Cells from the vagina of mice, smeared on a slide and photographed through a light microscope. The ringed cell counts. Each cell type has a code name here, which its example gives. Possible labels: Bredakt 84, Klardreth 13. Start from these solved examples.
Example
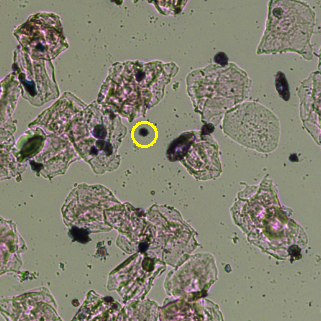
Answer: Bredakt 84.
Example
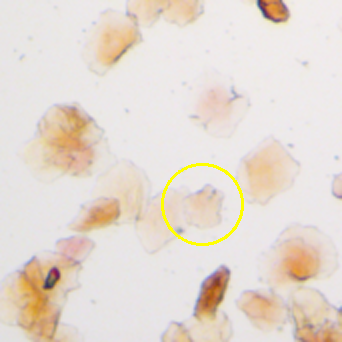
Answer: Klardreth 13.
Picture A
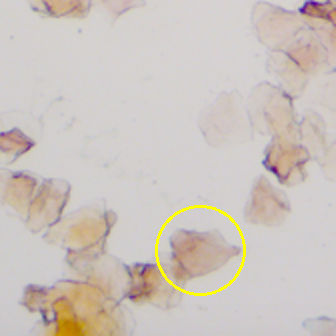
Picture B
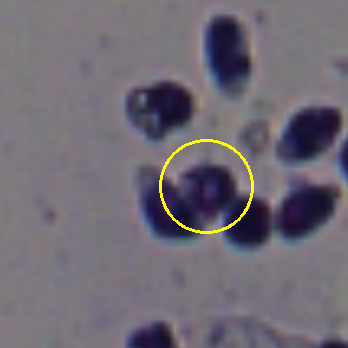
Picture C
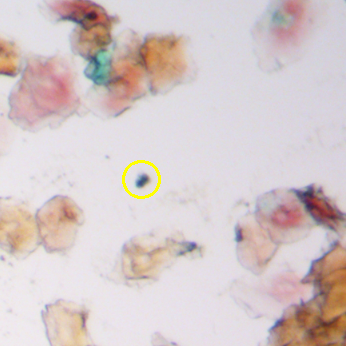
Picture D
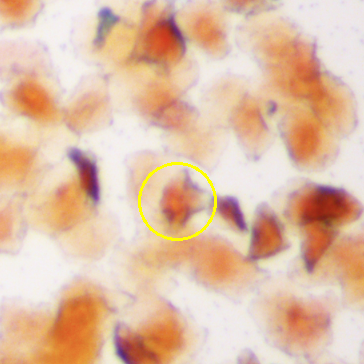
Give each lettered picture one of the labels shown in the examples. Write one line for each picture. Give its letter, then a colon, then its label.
A: Klardreth 13.
B: Bredakt 84.
C: Bredakt 84.
D: Klardreth 13.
